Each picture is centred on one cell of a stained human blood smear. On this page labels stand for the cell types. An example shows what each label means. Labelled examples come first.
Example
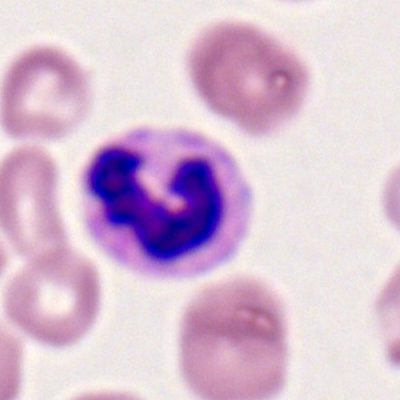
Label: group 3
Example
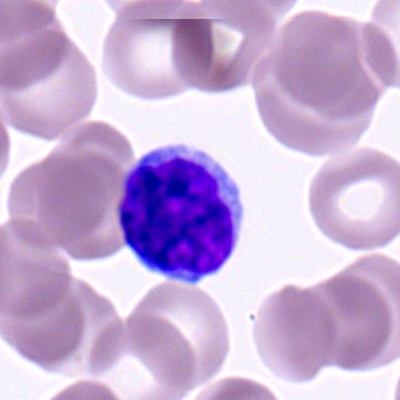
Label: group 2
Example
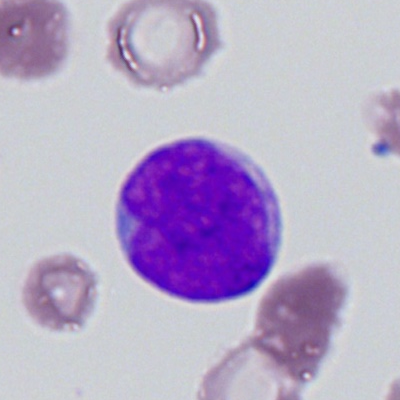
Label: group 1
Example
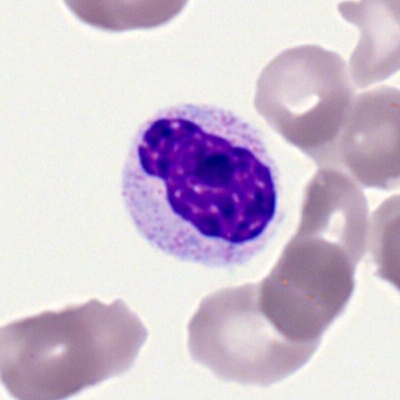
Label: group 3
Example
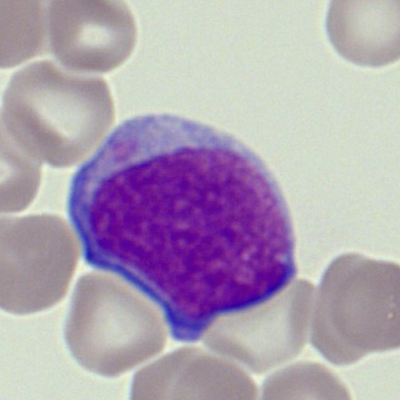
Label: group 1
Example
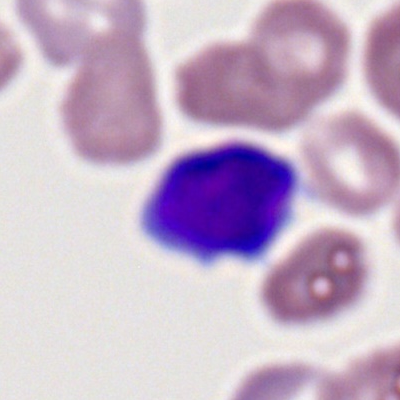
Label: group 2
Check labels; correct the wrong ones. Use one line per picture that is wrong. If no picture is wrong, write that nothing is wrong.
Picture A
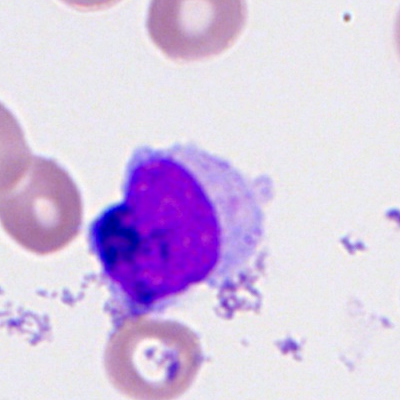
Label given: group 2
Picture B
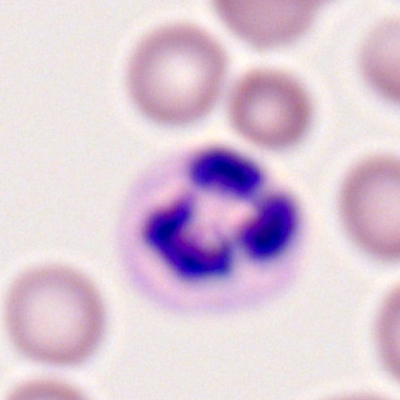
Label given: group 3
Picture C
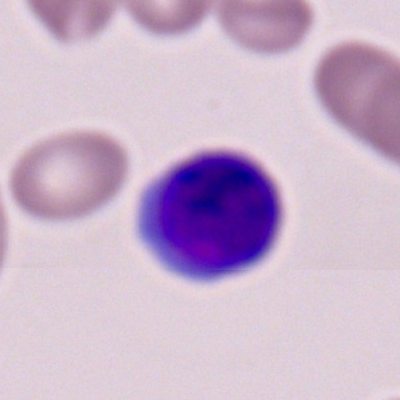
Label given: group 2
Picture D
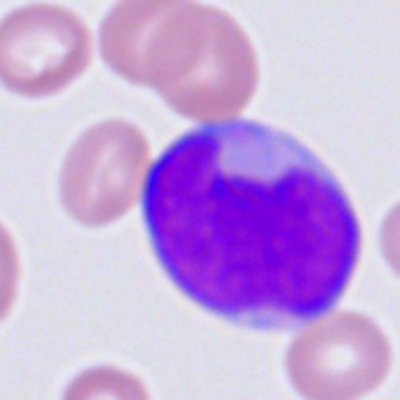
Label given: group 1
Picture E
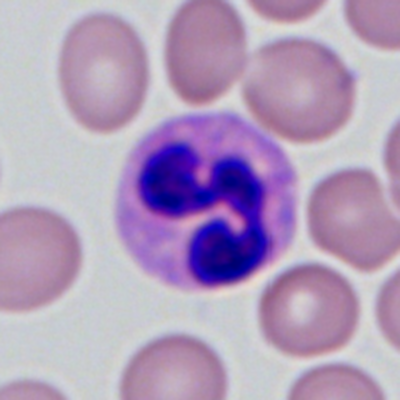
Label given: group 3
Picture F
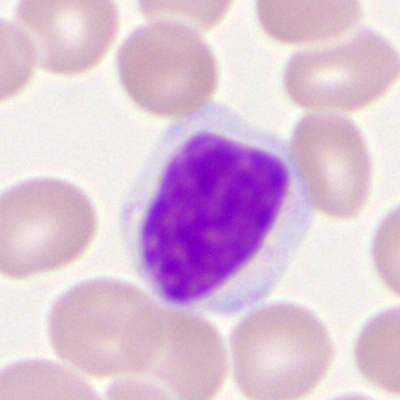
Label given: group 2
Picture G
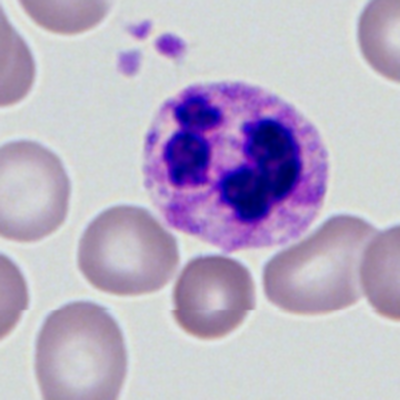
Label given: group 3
All correct.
